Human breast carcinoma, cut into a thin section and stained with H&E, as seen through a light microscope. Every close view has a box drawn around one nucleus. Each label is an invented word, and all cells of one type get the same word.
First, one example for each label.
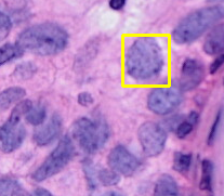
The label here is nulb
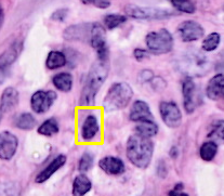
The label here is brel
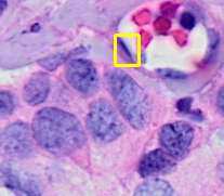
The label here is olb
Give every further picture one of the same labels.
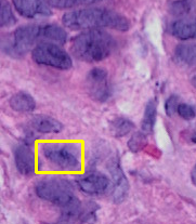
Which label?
nulb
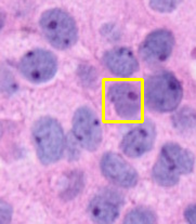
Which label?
nulb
